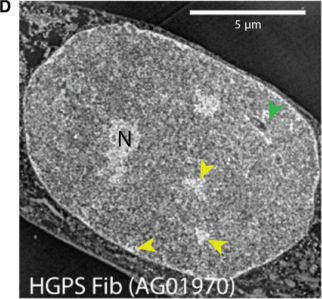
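A bright irregular nucleolus lies near the centre. Several small bright clumps of condensed chromatin are scattered through the grey granular nucleoplasm. A small dark gap lies within the nucleus near its upper right edge.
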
